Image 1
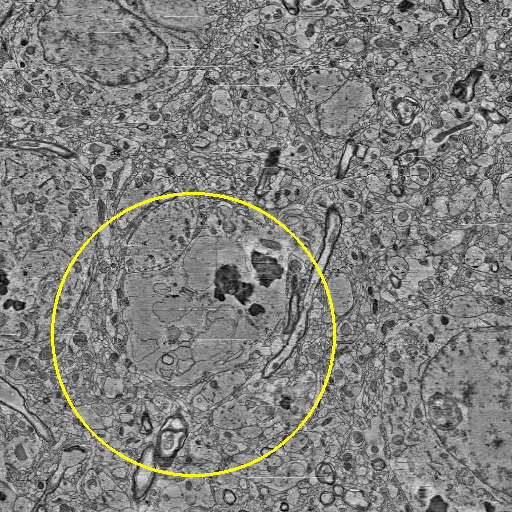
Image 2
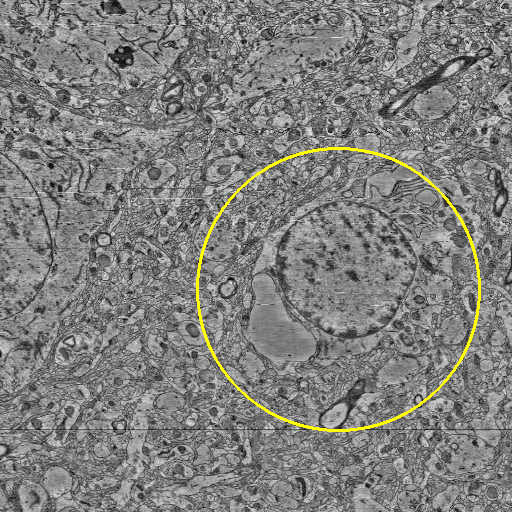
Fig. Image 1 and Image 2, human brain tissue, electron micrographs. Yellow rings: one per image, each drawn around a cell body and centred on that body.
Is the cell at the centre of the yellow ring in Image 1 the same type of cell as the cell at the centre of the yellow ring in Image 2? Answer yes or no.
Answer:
yes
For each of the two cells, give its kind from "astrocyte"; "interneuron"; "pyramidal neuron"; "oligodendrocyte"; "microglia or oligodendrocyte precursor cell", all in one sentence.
In the first picture and in the second, the ring is centred on an astrocyte.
